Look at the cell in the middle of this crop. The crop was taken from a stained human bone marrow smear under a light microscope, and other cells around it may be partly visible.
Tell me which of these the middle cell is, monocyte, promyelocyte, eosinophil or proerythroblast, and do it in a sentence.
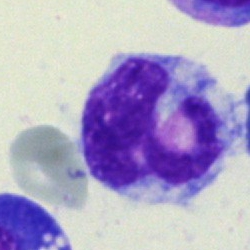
The cell marked by its central position in the crop is a monocyte.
